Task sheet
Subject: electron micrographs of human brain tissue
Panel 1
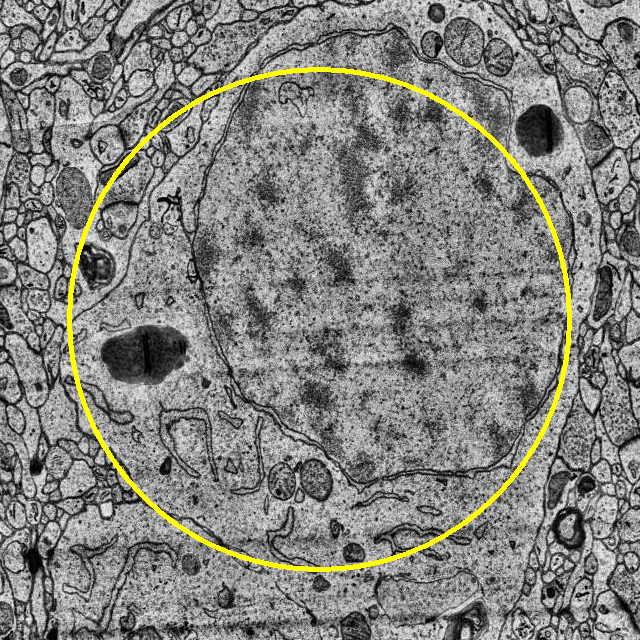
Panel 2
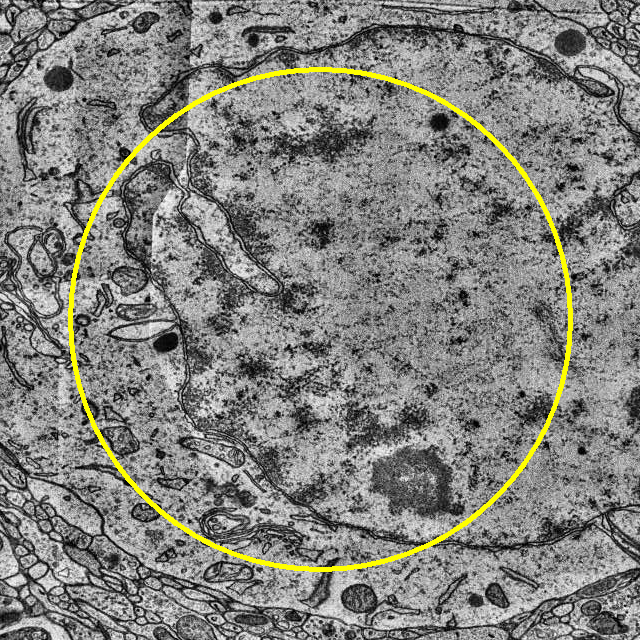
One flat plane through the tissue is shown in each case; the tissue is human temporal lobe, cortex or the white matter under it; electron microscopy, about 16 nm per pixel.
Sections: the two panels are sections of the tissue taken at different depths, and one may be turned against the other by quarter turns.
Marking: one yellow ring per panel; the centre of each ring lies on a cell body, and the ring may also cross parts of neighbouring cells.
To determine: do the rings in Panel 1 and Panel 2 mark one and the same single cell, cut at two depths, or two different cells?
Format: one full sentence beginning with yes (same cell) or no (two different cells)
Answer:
No, in this micrograph the two rings mark two different cells.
